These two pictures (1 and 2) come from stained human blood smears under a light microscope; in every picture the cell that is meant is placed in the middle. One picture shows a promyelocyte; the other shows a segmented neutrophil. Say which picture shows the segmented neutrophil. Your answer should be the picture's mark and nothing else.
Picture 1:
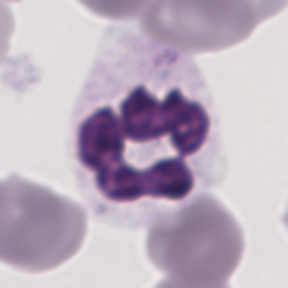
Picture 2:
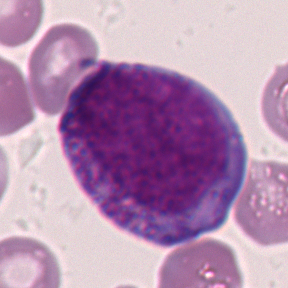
1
